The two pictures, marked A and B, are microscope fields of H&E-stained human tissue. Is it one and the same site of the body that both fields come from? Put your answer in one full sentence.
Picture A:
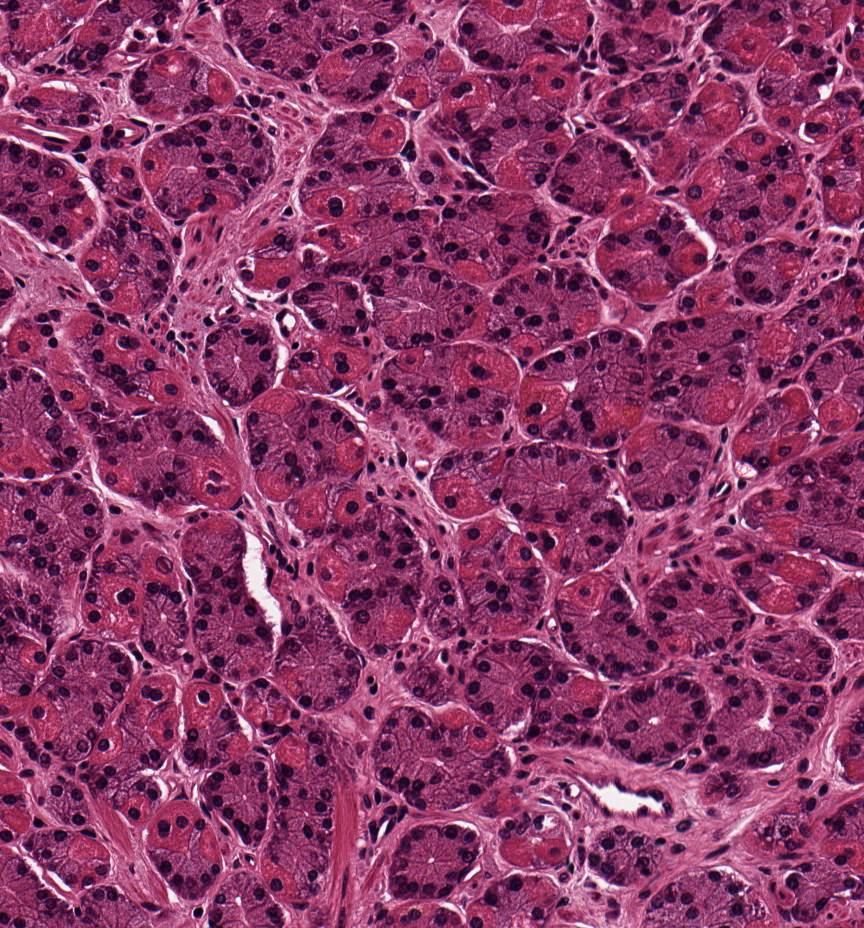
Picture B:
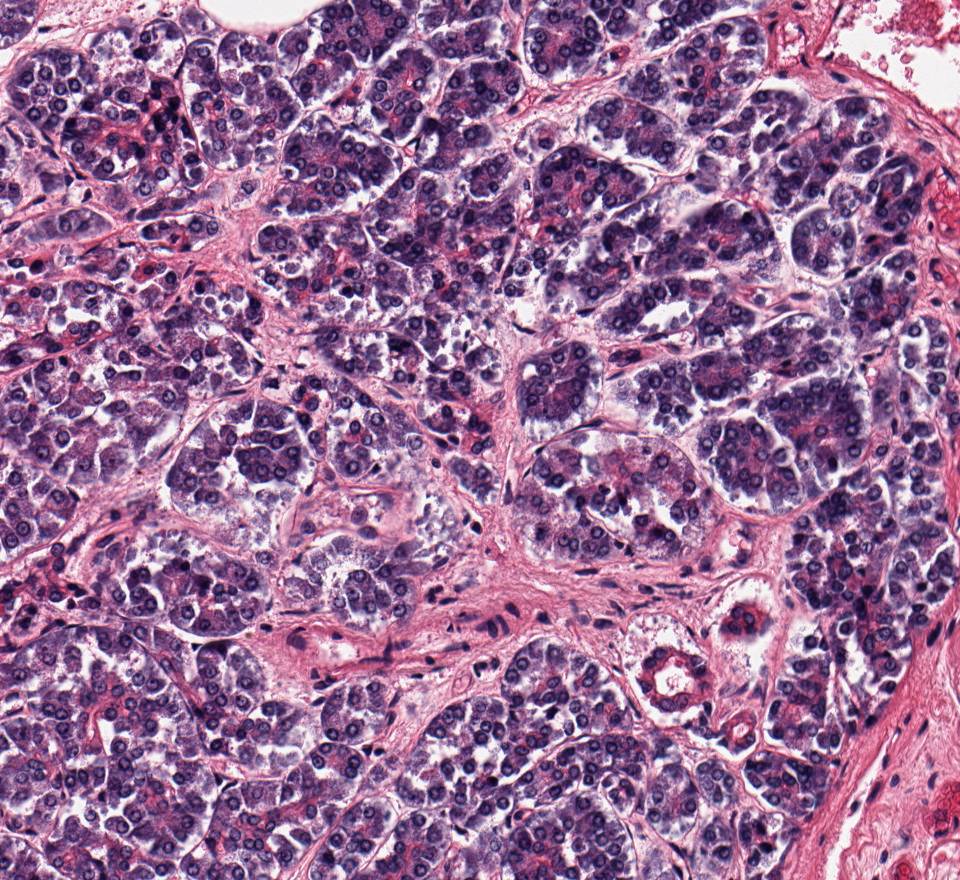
No, they differ: picture A comes from the stomach, and picture B comes from the pancreas.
